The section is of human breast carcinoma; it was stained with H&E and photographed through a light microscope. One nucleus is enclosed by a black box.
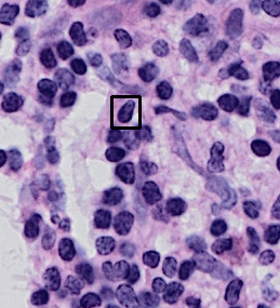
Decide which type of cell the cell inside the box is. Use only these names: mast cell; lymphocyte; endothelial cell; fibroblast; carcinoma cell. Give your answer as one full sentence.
So far as cell type goes, the cell inside the box is a lymphocyte.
